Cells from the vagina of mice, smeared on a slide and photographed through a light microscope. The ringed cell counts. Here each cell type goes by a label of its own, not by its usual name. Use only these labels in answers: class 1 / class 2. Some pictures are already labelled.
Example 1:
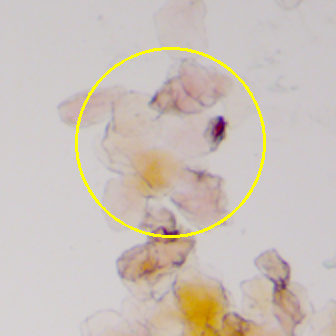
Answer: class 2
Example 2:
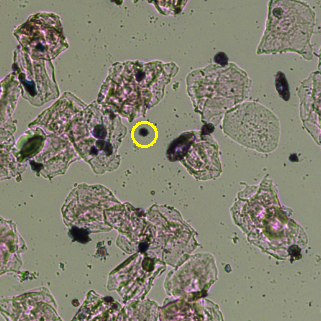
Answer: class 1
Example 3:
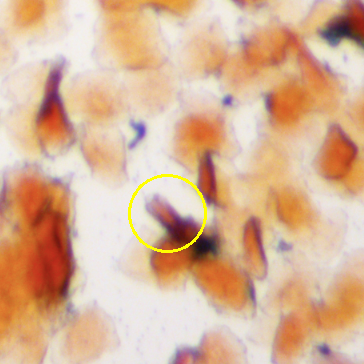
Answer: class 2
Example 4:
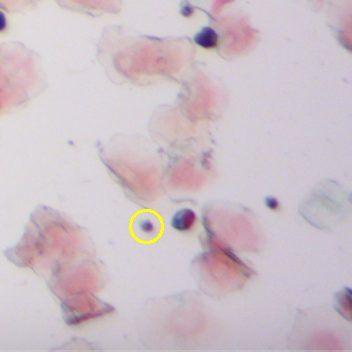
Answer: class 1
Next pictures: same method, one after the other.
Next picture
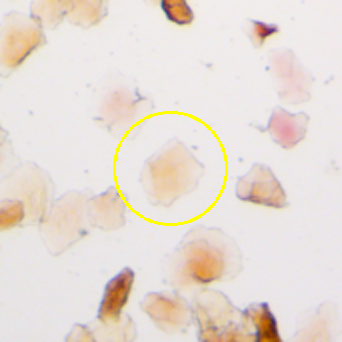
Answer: class 2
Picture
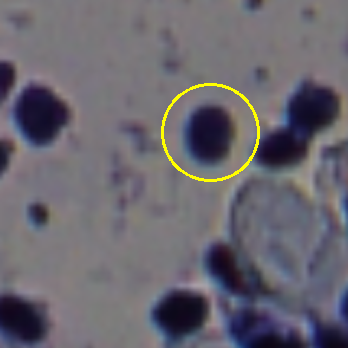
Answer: class 1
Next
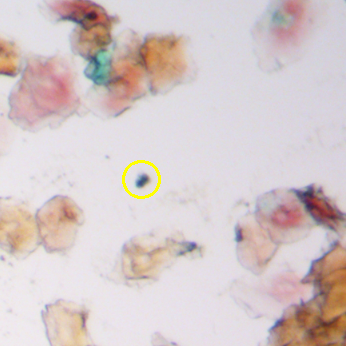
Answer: class 1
